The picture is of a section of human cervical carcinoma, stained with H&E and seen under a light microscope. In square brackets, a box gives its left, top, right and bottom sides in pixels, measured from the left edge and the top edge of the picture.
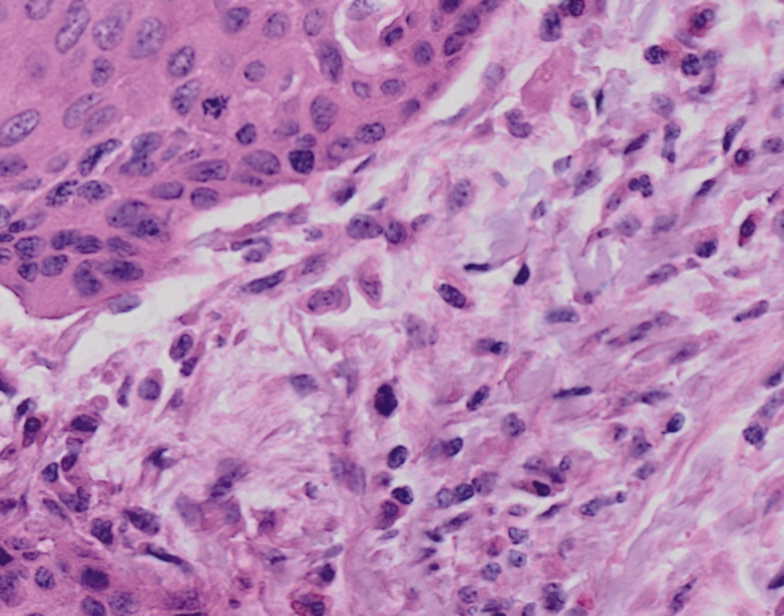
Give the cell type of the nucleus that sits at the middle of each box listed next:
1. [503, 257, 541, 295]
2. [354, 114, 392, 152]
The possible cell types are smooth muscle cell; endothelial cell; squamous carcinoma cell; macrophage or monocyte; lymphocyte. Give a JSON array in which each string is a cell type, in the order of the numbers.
["lymphocyte", "squamous carcinoma cell"]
